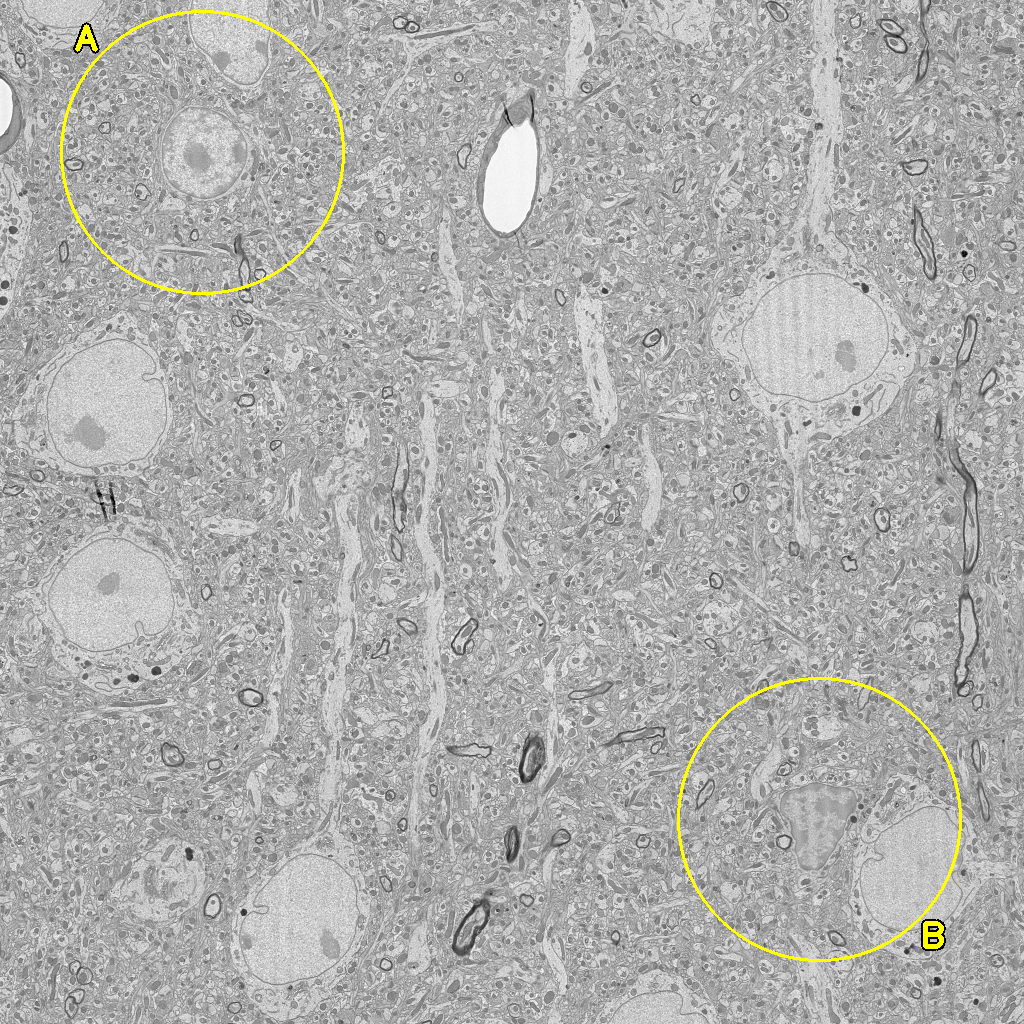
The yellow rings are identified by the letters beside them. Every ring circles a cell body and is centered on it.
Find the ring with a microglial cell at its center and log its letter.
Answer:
B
